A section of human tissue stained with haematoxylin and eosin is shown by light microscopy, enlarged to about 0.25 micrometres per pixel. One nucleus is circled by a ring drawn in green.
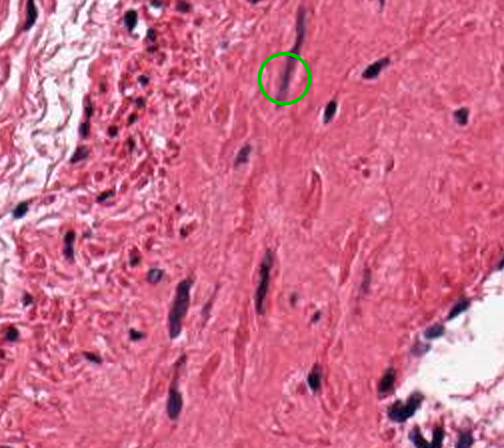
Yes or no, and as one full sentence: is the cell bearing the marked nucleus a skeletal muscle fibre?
No, the marked nucleus does not belong to a skeletal muscle fibre.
